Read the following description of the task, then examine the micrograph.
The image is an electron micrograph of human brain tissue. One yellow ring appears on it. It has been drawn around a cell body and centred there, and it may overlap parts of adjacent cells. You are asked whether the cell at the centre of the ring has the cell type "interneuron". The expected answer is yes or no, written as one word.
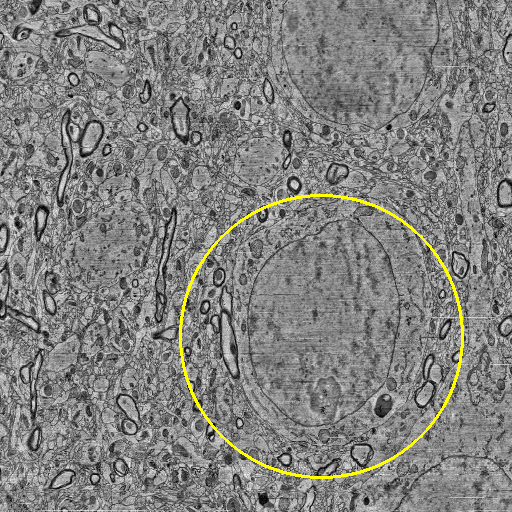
no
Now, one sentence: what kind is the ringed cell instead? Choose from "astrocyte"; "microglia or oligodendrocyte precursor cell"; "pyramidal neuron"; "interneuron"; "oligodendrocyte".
The cell in the ring is a pyramidal neuron instead.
